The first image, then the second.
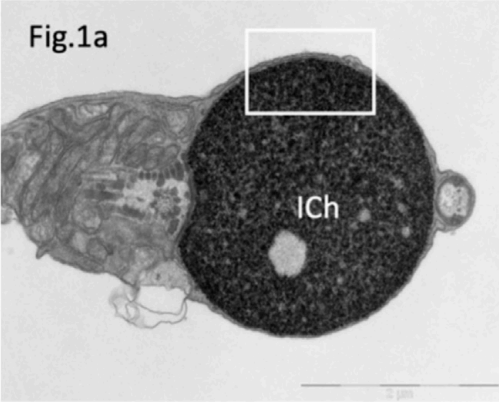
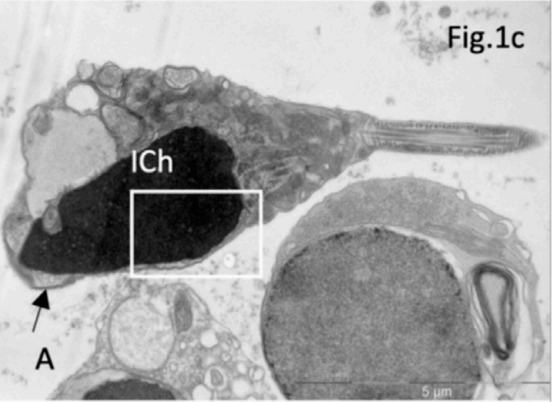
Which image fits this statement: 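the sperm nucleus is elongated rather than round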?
The second image.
